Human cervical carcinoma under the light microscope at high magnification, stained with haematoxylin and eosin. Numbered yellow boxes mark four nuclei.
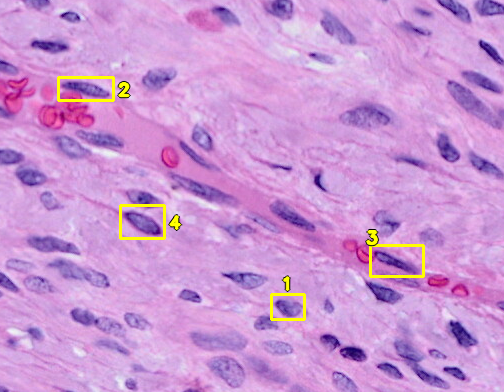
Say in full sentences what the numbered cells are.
Cell 1 is a fibroblast. Cells 2 and 3 are endothelial cells. Cell 4 is a smooth muscle cell.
